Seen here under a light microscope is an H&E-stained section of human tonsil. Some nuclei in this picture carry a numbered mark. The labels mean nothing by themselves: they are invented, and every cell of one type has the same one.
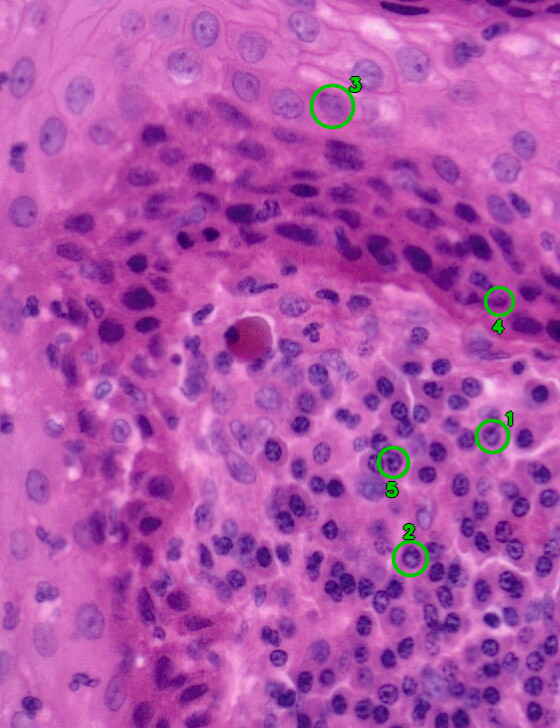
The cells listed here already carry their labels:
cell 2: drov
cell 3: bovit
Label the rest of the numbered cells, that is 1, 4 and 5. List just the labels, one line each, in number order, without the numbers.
drov
bovit
drov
